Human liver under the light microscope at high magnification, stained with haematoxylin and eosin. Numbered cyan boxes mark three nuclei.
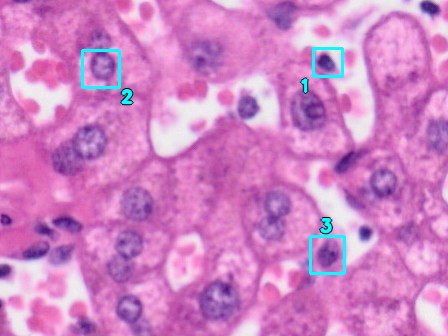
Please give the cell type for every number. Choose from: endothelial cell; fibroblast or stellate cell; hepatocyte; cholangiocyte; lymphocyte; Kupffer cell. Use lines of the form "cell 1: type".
cell 1: lymphocyte
cell 2: hepatocyte
cell 3: Kupffer cell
